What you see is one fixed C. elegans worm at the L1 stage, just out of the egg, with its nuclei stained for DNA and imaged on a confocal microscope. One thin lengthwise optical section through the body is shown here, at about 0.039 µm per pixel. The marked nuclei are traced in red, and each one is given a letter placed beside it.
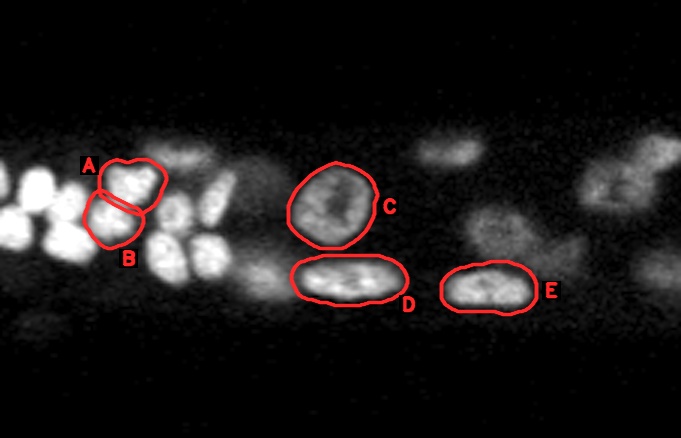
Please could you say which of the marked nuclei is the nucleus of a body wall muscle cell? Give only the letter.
E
